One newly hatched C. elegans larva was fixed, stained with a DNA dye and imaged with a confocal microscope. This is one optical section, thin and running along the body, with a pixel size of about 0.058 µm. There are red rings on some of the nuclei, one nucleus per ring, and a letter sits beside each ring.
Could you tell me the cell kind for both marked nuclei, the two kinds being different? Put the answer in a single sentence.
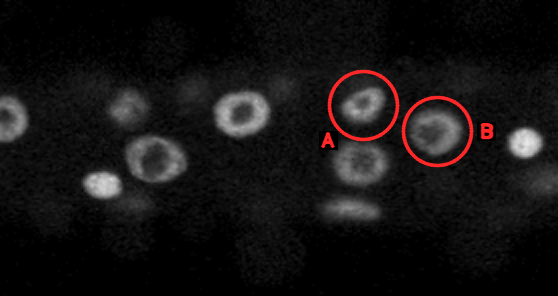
The nucleus A is that of a P cell (ventral epidermal blast cell), while B is that of a seam cell.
